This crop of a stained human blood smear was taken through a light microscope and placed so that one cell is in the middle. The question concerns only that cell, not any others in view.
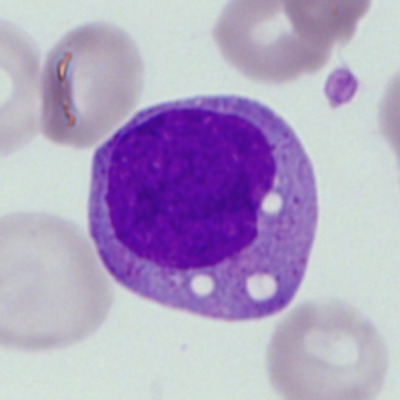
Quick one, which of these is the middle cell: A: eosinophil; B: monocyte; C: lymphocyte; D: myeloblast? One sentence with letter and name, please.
Option D is the correct one; it names the central cell as a myeloblast.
